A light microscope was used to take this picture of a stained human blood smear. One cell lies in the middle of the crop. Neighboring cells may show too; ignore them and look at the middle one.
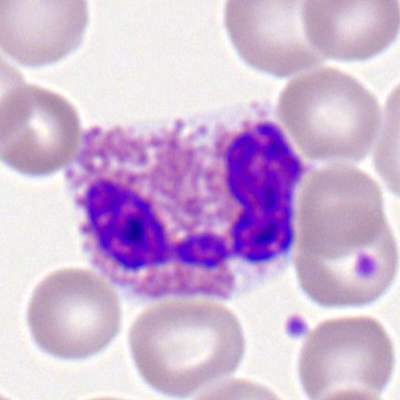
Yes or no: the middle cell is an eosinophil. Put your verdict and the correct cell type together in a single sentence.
Yes, the cell found in the middle is an eosinophil.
